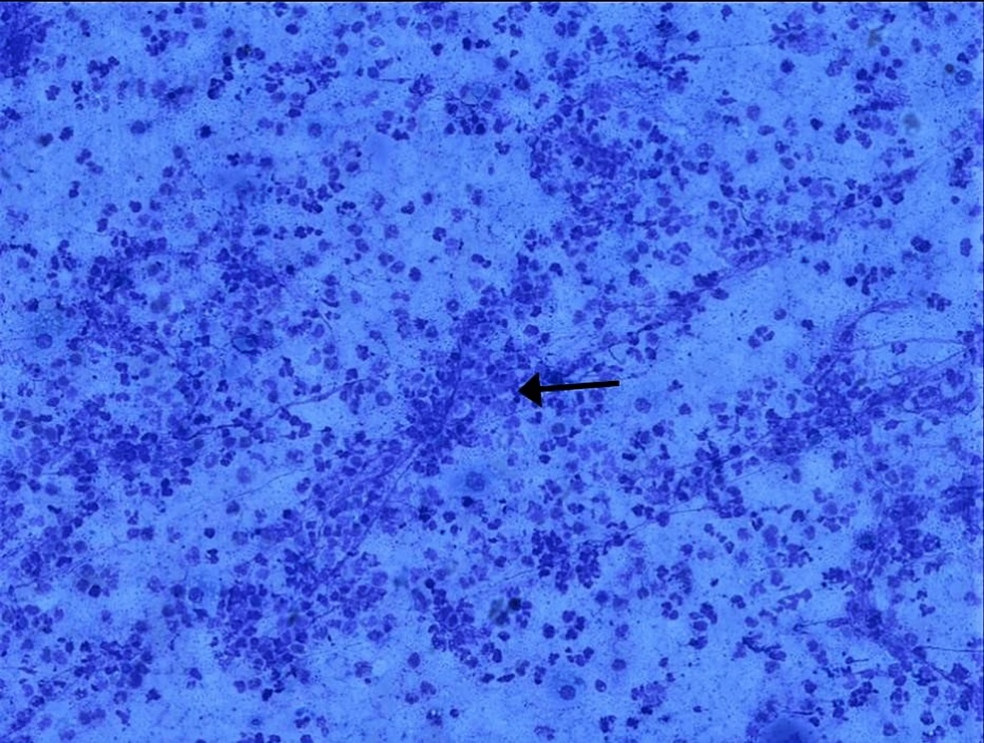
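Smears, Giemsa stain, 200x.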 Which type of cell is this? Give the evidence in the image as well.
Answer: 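The field is crowded with many small round cells. Many of the cells have dark, lobed or segmented nuclei.
Neutrophil.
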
